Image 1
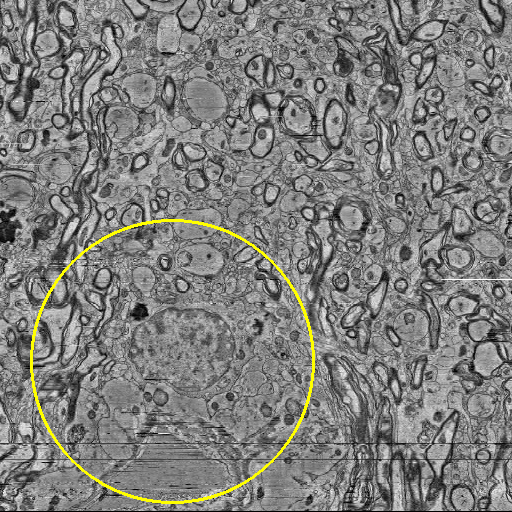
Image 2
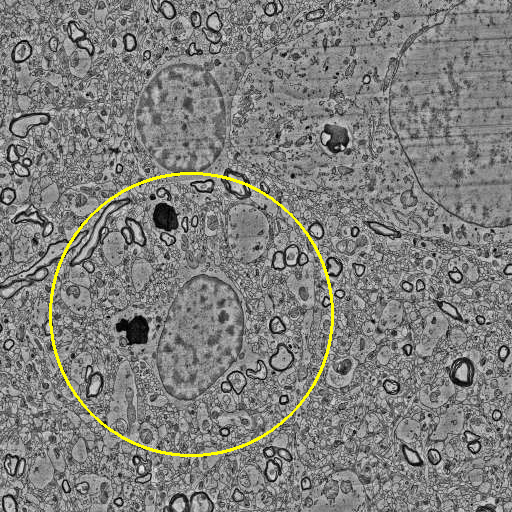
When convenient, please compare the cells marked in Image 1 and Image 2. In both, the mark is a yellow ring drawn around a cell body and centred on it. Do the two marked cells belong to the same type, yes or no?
yes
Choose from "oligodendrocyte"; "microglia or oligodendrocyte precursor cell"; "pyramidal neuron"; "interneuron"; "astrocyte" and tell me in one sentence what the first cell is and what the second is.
Each of the two cells is an oligodendrocyte.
